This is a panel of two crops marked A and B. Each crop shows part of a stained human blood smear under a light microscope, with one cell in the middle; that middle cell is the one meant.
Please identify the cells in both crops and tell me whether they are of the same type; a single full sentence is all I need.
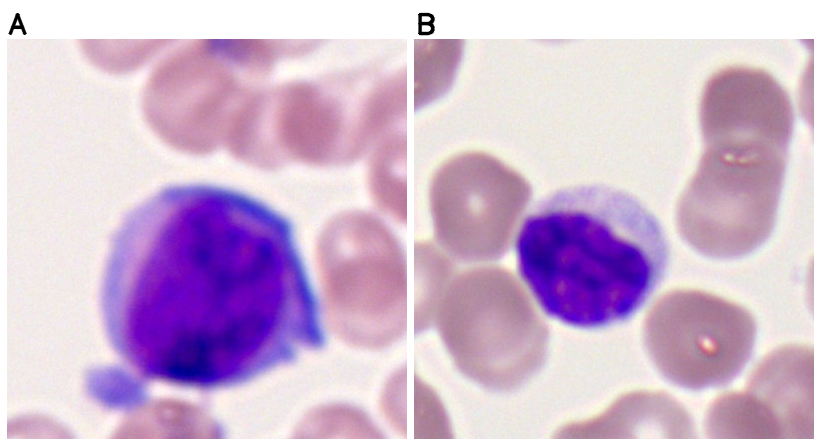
No, the cell that crop A shows is a blast, and the one crop B shows is a lymphocyte.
